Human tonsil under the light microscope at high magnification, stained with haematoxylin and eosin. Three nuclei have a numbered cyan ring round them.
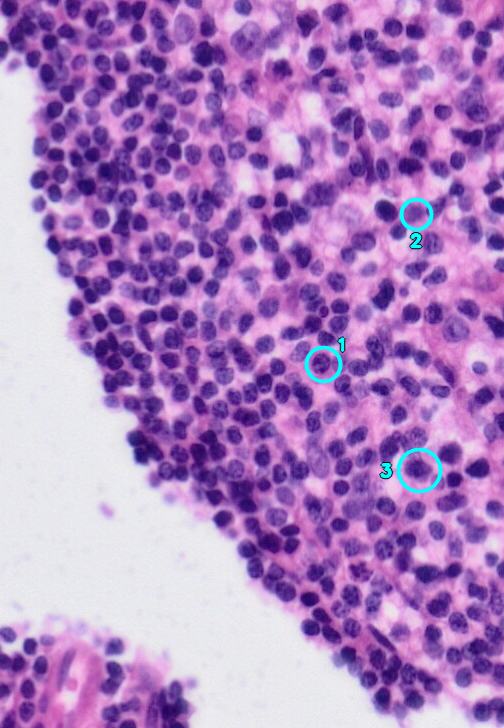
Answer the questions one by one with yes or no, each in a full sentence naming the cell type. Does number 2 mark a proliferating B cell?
Yes, the cell that is numbered 2 is a proliferating B cell.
